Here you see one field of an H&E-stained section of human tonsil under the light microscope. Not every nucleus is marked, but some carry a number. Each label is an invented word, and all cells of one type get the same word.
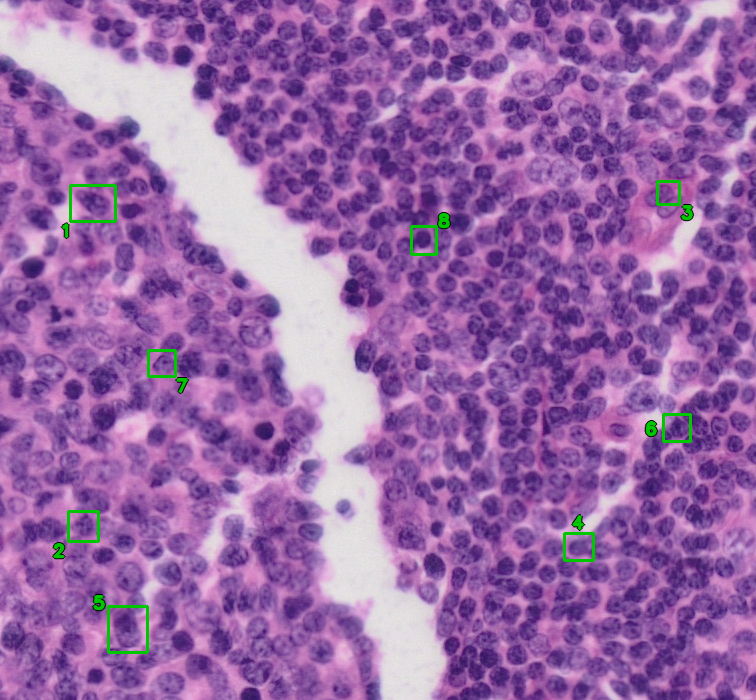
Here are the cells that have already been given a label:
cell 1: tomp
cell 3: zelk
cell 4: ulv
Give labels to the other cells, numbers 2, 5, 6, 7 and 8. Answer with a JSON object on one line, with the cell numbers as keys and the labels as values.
{"2": "tomp", "5": "tomp", "6": "ulv", "7": "tomp", "8": "ulv"}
